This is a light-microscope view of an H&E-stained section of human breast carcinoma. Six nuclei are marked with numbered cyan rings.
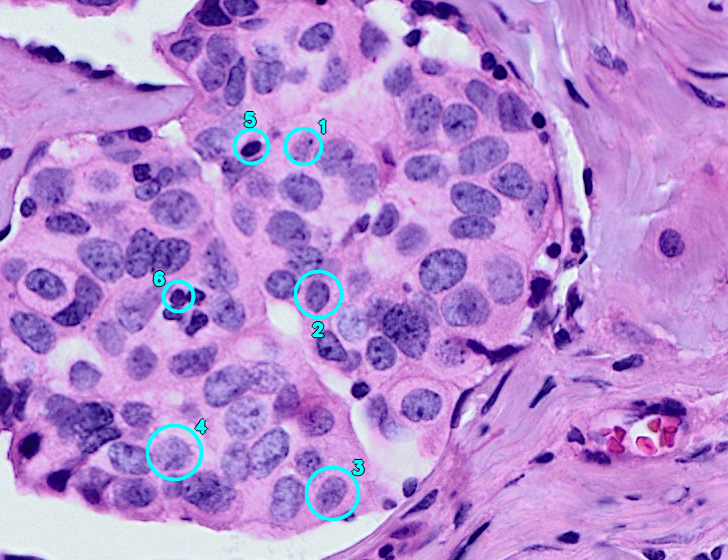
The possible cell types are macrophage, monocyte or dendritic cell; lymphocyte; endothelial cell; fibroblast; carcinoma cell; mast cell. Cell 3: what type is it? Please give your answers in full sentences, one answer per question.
The cell that is numbered 3 is a carcinoma cell.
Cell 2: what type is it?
That cell with number 2 is a carcinoma cell.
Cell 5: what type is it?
The cell marked with number 5 is a lymphocyte.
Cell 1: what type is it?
The correct label for cell 1 is a carcinoma cell.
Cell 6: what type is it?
The cell assigned the number 6 is a lymphocyte.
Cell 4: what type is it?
Marked with the number 4, this cell is a carcinoma cell.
